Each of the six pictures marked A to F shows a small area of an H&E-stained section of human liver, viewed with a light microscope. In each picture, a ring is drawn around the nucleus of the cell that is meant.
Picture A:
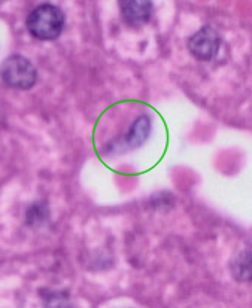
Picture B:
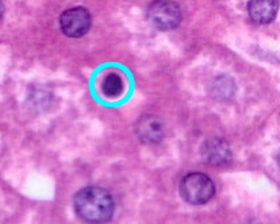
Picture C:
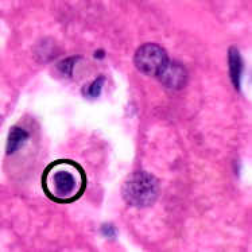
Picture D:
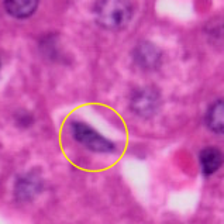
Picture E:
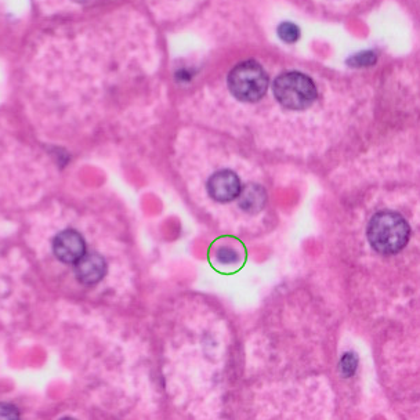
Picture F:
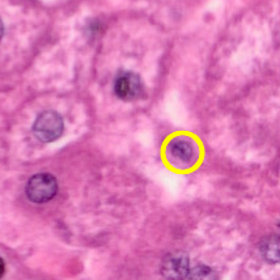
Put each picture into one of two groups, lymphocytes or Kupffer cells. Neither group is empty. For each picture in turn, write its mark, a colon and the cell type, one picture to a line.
A: Kupffer cell
B: lymphocyte
C: lymphocyte
D: Kupffer cell
E: lymphocyte
F: Kupffer cell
